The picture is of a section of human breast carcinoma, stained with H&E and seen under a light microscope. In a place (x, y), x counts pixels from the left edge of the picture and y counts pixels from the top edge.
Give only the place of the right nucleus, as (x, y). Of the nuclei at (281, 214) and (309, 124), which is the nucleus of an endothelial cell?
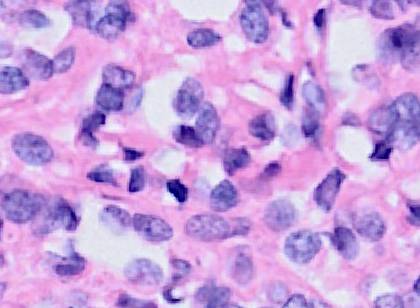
(309, 124)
